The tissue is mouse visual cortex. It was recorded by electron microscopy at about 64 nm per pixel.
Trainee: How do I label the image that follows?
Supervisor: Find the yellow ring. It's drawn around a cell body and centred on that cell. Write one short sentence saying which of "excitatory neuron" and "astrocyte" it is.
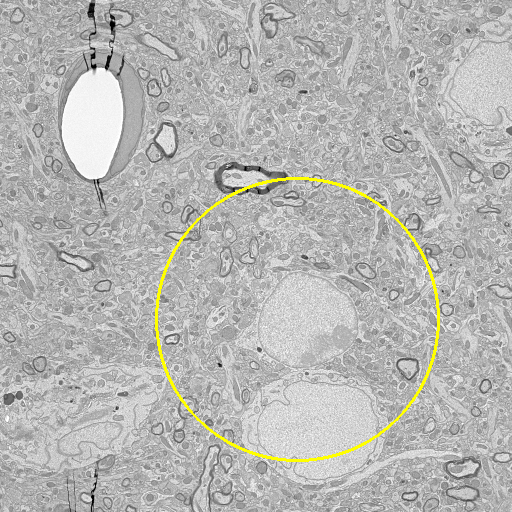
This is the cell body of an astrocyte.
